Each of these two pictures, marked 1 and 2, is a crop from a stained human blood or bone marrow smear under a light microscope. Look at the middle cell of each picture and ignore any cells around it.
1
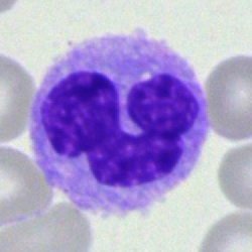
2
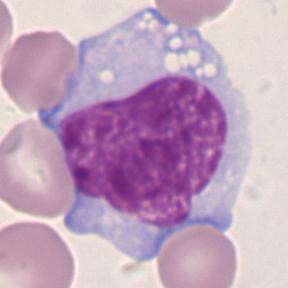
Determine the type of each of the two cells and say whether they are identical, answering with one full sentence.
No, crop 1 depicts a monocyte; crop 2 depicts a blast.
